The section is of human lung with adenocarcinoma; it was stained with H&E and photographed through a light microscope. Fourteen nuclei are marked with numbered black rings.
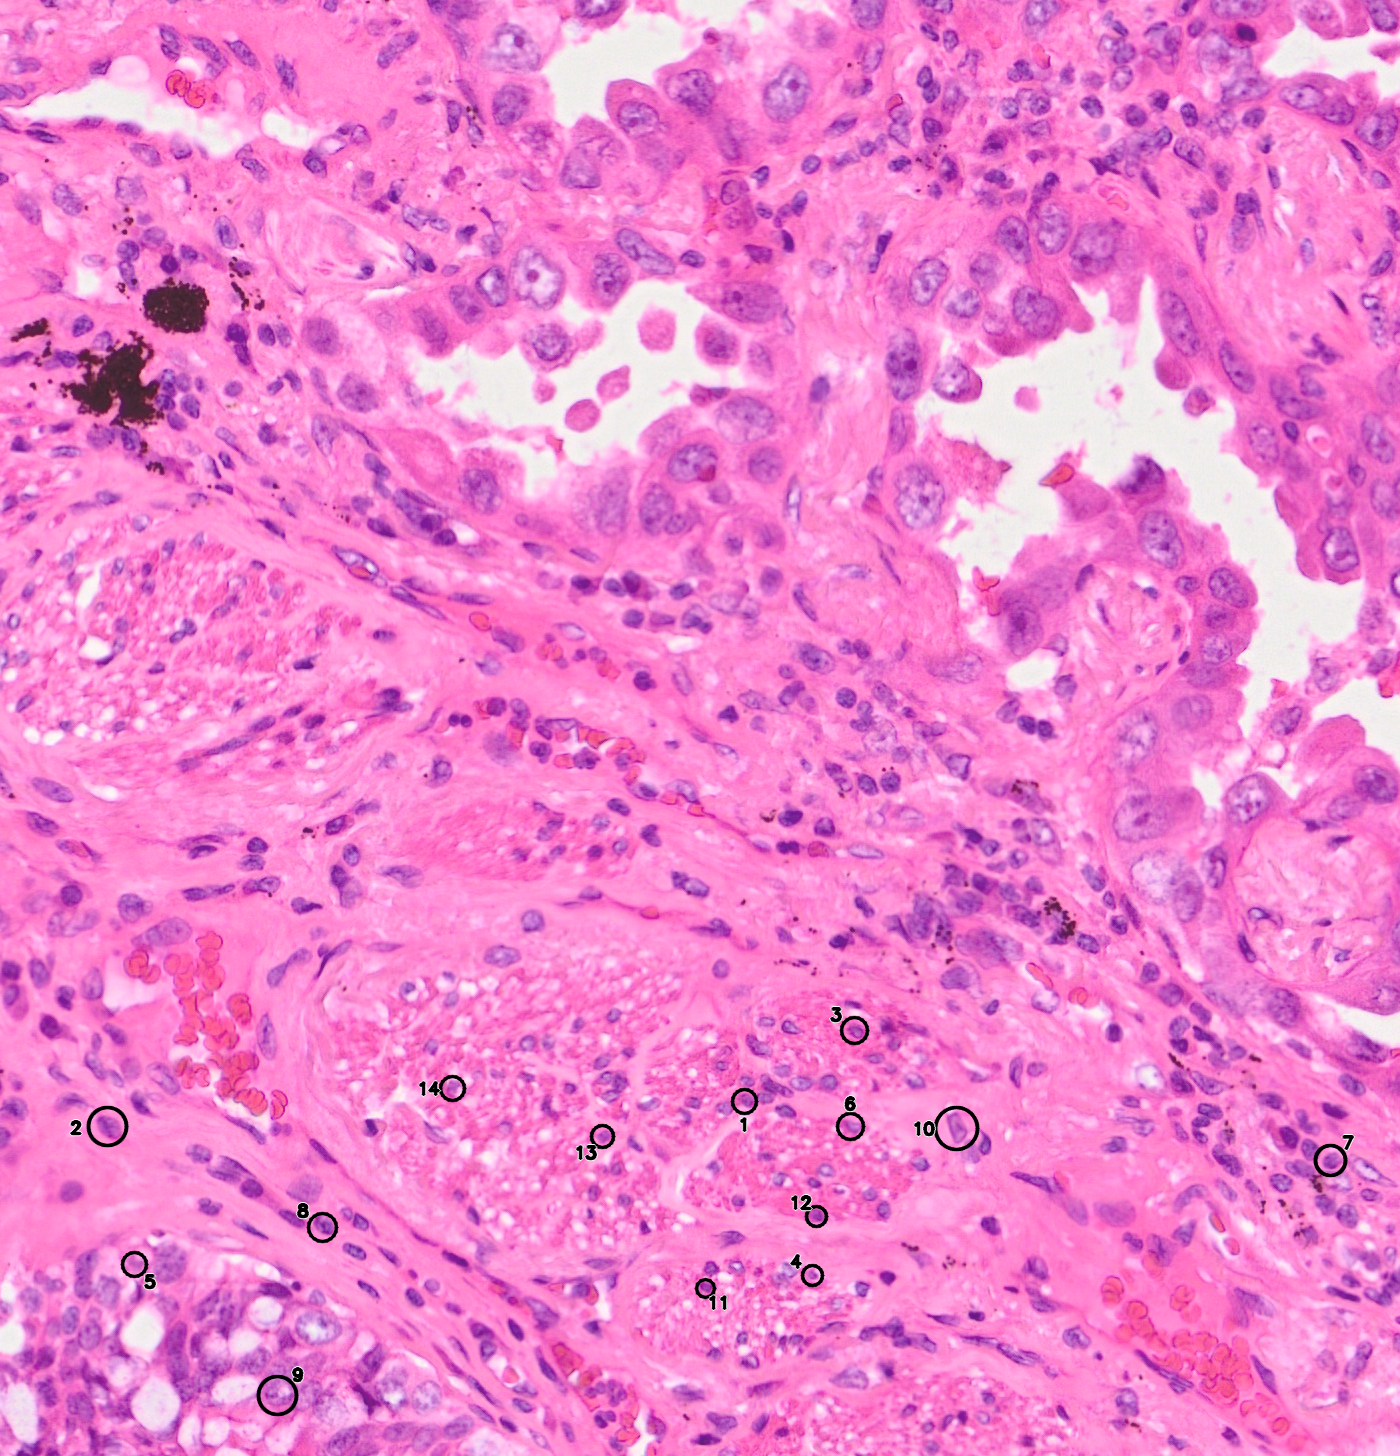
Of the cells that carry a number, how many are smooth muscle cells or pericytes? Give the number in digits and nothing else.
8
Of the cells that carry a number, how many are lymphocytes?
1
